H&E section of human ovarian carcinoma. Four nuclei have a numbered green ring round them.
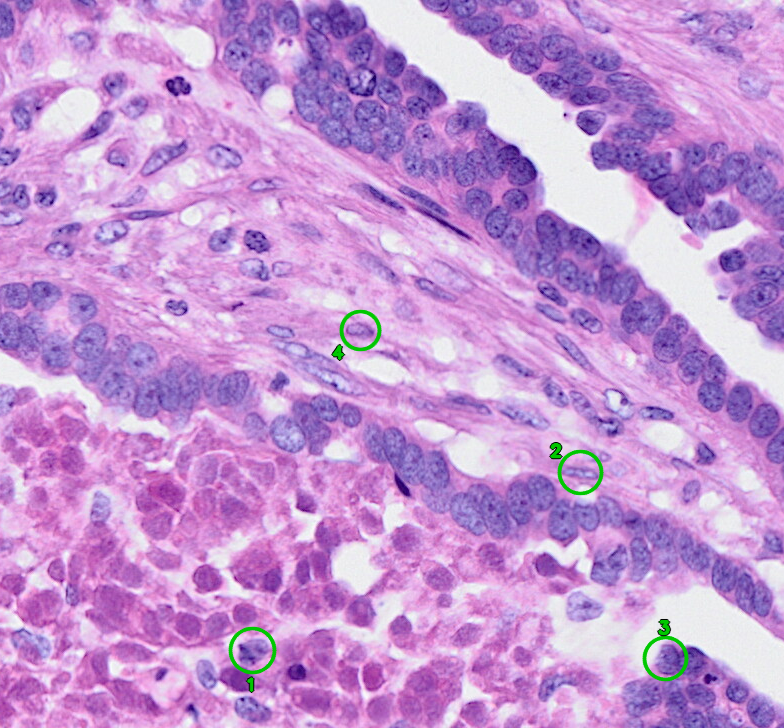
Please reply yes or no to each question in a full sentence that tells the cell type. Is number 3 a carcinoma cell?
Yes, for number 3, the cell is a carcinoma cell.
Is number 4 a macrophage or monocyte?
No, number 4 marks a fibroblast rather than a macrophage or monocyte.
